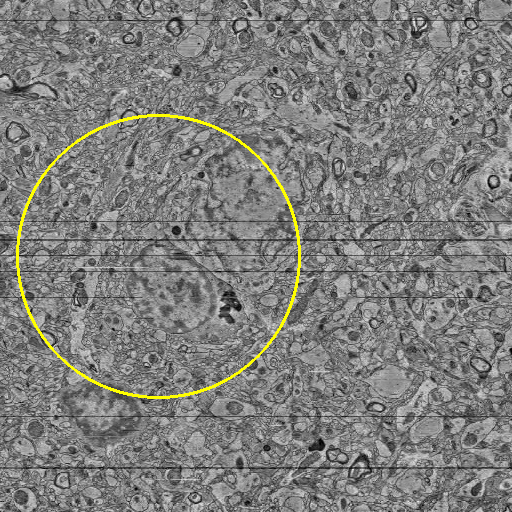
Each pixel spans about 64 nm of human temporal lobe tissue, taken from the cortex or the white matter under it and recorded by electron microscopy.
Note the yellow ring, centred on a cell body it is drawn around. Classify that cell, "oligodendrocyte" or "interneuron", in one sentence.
The cell the ring is centred on is an oligodendrocyte.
